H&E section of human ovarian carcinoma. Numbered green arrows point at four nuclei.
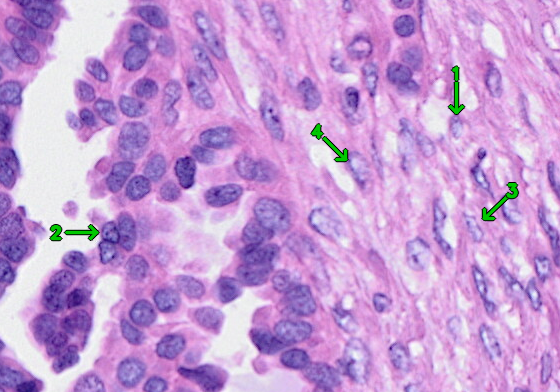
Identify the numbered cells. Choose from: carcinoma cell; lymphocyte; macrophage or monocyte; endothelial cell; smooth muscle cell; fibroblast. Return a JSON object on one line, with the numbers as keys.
{"1": "fibroblast", "2": "carcinoma cell", "3": "fibroblast", "4": "fibroblast"}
